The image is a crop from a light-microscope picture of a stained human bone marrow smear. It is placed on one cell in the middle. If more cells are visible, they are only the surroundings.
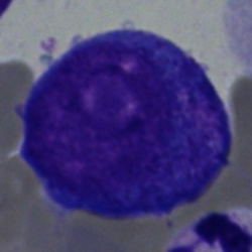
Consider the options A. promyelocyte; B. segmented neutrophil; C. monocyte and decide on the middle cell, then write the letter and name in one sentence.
Option A is correct in naming the middle cell a promyelocyte.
